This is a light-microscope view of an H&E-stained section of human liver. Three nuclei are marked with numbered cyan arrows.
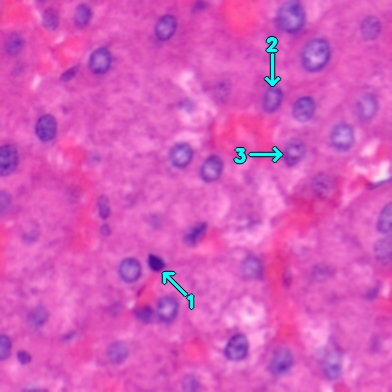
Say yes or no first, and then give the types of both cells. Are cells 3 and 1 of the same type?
No, cell 3 is a hepatocyte whereas cell 1 is a fibroblast or stellate cell.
